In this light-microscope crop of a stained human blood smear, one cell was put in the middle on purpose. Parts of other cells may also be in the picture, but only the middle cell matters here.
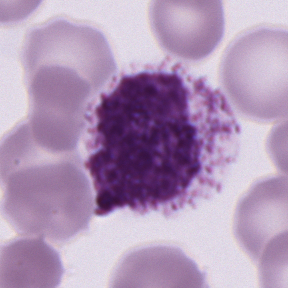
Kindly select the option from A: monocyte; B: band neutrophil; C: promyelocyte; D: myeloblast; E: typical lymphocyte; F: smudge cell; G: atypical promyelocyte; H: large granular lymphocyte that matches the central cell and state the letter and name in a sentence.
The correct option, B, names the middle cell as a band neutrophil.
